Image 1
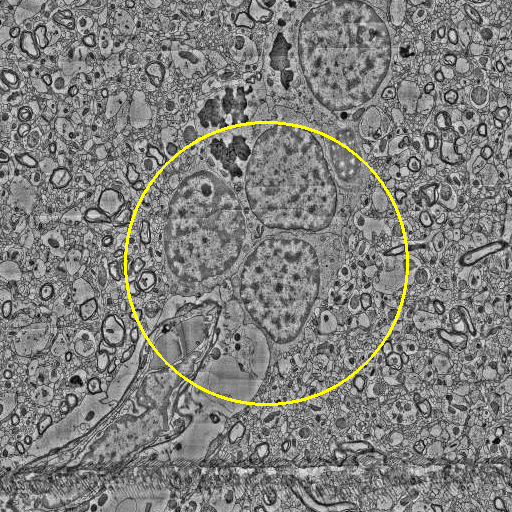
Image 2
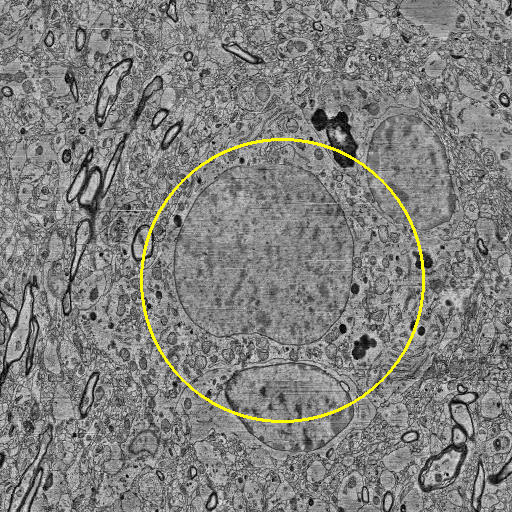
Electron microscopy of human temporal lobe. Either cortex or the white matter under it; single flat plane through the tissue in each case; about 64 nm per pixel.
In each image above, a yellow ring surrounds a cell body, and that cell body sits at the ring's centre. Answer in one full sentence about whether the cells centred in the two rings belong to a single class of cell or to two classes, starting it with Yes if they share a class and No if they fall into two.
No, the cells centred in the two yellow rings belong to two classes of cell.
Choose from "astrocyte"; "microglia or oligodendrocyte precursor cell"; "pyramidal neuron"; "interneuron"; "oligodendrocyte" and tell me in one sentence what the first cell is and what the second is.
What the first ring is centred on is an oligodendrocyte; what the second ring is centred on is an interneuron.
